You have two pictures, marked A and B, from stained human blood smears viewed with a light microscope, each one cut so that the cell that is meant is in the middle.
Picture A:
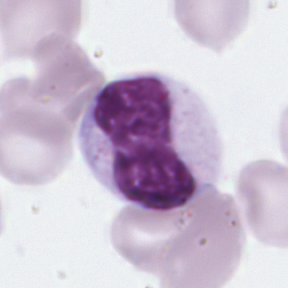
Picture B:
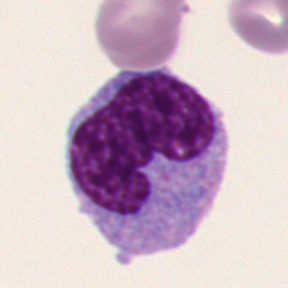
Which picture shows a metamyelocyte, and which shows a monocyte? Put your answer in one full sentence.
Picture B shows a monocyte, while picture A shows a metamyelocyte.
